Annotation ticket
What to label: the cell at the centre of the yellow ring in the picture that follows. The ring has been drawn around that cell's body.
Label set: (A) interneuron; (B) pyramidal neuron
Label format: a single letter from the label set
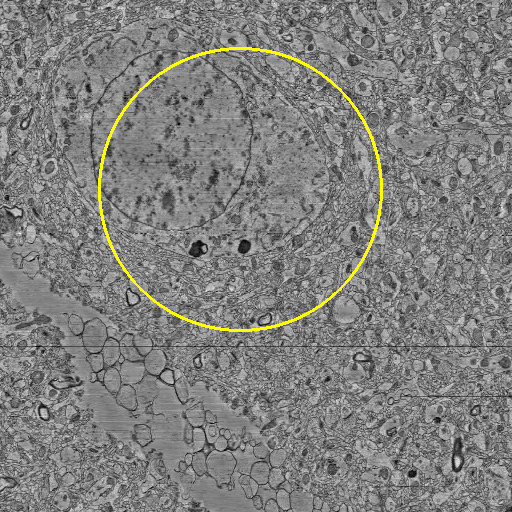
B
